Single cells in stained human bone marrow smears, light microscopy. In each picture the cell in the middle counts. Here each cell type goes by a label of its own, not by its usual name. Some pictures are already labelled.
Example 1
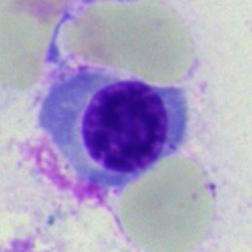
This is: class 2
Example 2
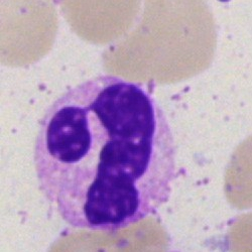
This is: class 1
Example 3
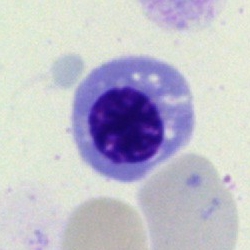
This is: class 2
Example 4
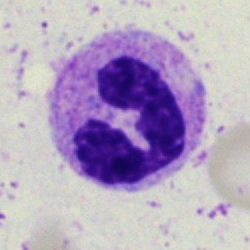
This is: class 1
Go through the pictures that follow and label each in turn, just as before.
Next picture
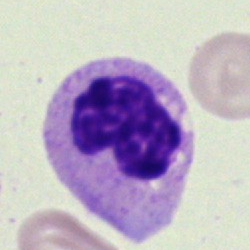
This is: class 1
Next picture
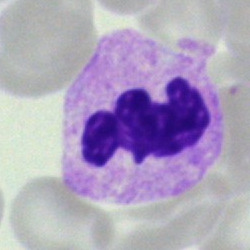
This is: class 1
